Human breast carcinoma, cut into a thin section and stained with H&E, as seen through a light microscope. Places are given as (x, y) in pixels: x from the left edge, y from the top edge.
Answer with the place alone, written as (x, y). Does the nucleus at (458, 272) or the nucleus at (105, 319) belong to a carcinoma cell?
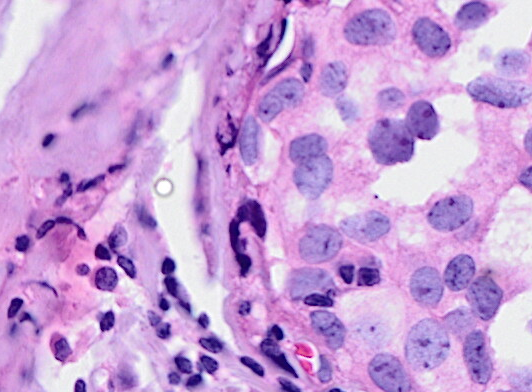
(458, 272)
